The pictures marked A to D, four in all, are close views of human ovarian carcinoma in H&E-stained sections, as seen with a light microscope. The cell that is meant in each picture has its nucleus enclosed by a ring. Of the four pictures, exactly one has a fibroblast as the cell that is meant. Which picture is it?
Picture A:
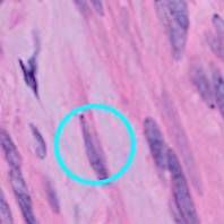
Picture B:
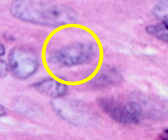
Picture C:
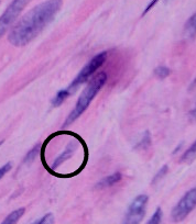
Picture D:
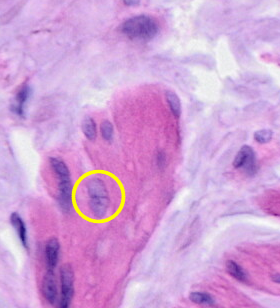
B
